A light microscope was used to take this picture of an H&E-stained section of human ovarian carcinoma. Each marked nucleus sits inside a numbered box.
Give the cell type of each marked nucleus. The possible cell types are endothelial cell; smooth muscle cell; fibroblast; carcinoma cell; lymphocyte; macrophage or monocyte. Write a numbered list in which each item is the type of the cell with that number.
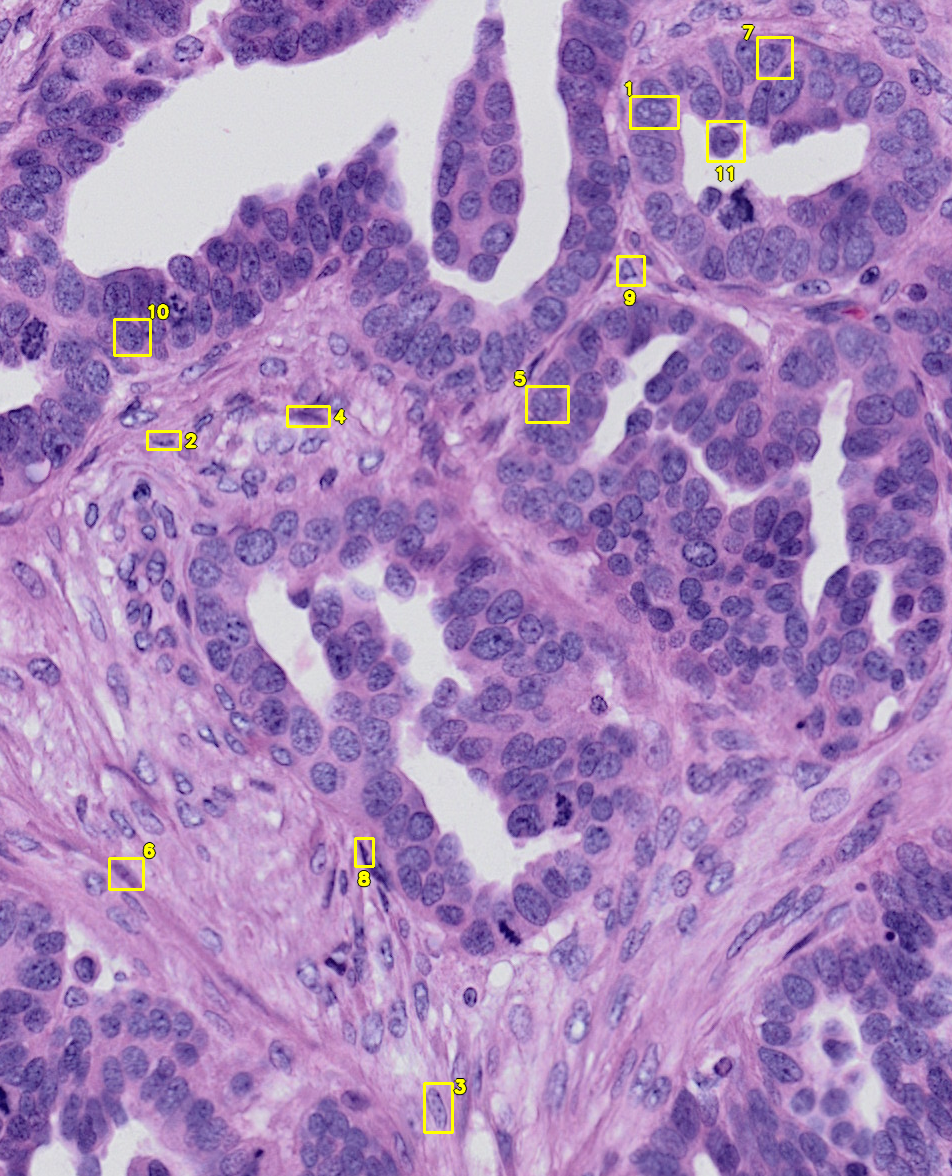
1. carcinoma cell
2. fibroblast
3. fibroblast
4. fibroblast
5. carcinoma cell
6. fibroblast
7. carcinoma cell
8. fibroblast
9. fibroblast
10. carcinoma cell
11. carcinoma cell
